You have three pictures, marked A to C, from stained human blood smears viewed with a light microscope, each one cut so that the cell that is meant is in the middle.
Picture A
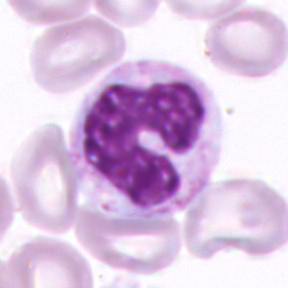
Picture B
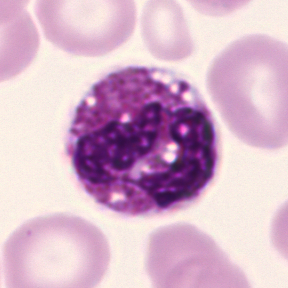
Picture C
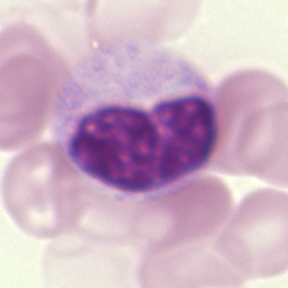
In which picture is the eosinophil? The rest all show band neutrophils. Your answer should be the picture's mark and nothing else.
B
